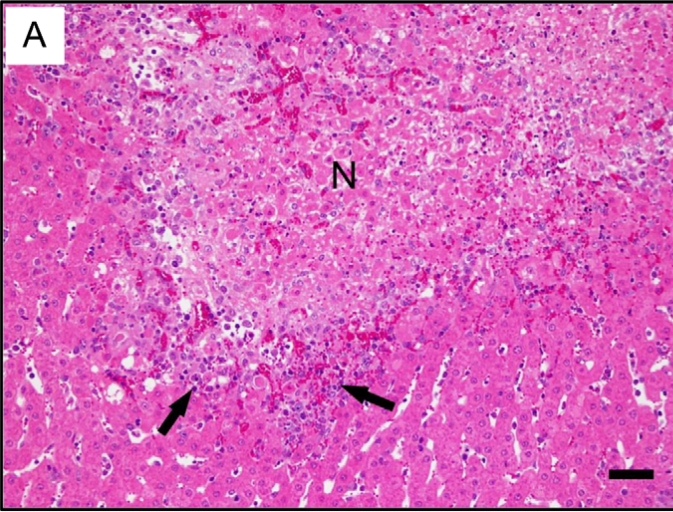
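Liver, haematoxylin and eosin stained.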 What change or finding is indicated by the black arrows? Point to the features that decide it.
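Small clusters of cells with dark purple nuclei at the edge of the pale zone. The clusters are sparse rather than a dense band. So: inflammatory infiltration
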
